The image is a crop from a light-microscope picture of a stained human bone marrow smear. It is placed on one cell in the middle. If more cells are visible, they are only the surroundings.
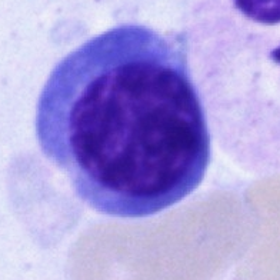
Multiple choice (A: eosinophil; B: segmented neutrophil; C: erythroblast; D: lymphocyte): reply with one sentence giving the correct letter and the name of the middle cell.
The one cell at the centre is an erythroblast, as correctly stated in option C.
